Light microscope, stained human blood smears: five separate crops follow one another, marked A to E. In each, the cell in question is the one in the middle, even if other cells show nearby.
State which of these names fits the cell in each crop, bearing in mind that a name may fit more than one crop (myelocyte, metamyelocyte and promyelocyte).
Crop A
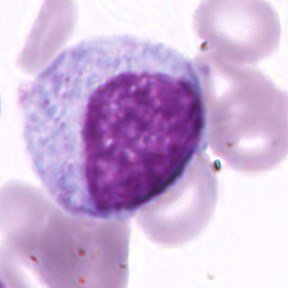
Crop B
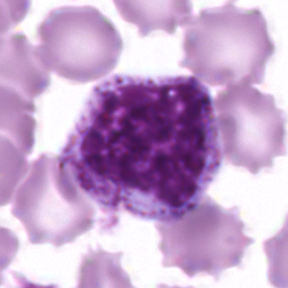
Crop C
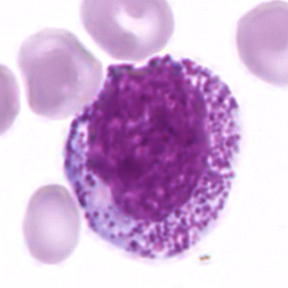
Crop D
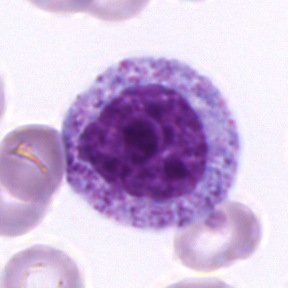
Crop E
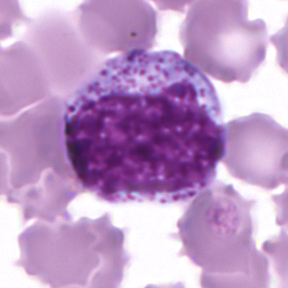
A: myelocyte
B: myelocyte
C: myelocyte
D: myelocyte
E: metamyelocyte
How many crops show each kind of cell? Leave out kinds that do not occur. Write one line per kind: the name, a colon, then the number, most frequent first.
myelocyte: 4
metamyelocyte: 1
